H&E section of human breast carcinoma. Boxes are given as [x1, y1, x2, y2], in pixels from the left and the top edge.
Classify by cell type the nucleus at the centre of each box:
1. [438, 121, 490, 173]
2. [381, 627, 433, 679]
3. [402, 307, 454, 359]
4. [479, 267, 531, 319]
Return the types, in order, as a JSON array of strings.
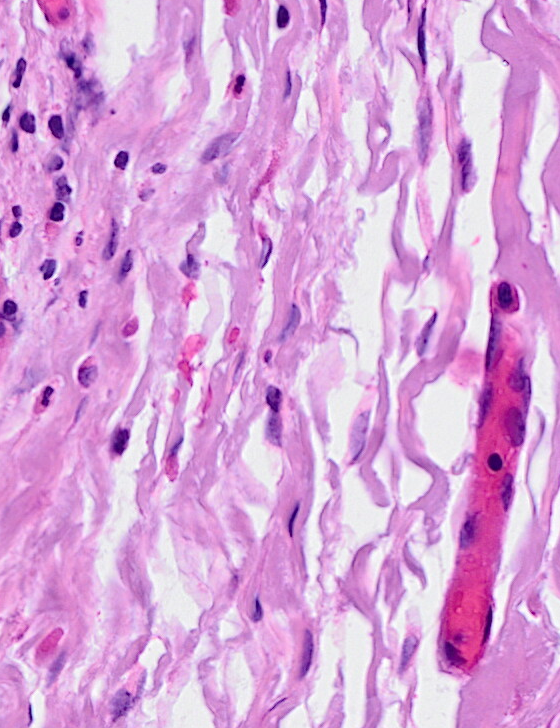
["fibroblast", "fibroblast", "fibroblast", "mast cell"]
